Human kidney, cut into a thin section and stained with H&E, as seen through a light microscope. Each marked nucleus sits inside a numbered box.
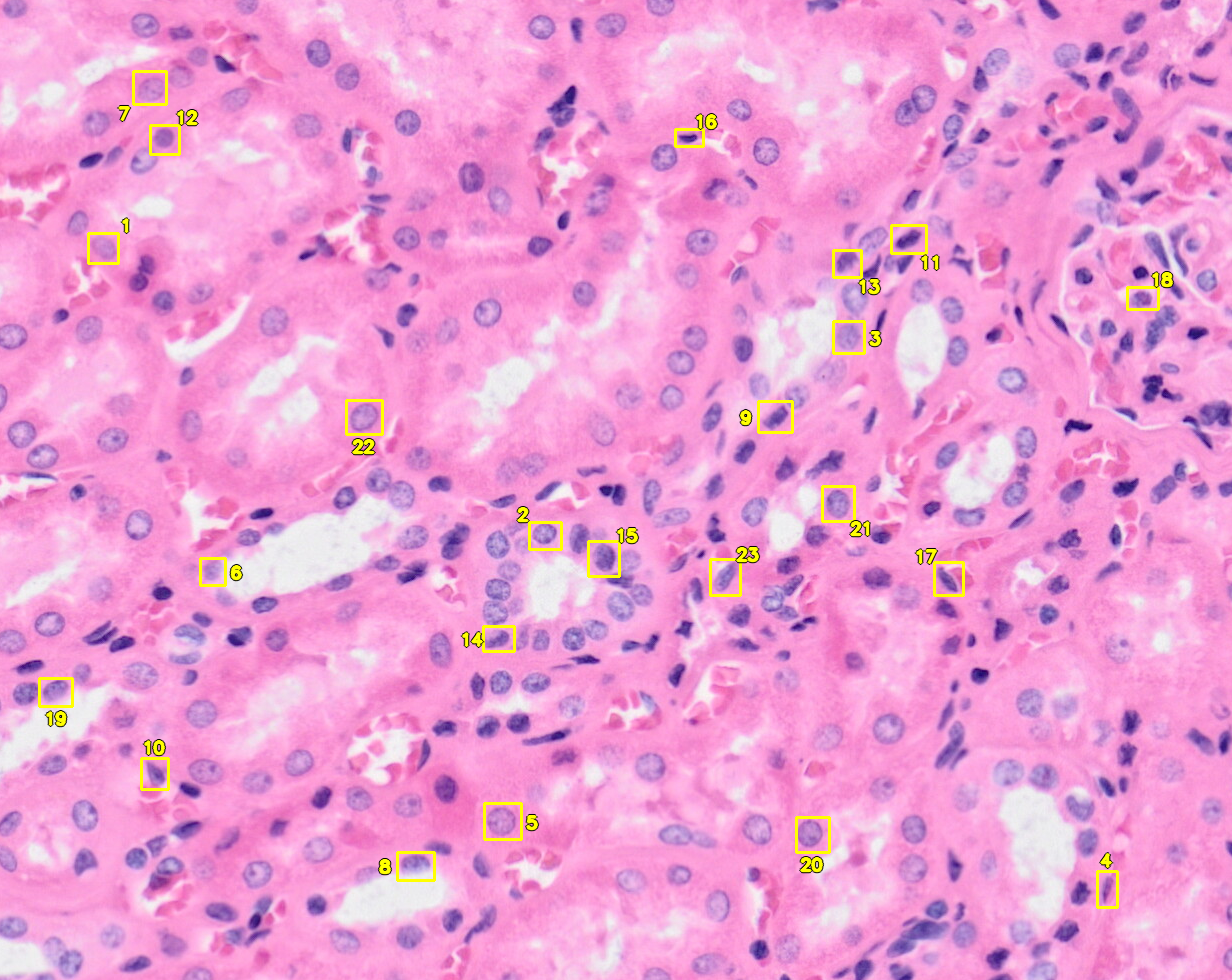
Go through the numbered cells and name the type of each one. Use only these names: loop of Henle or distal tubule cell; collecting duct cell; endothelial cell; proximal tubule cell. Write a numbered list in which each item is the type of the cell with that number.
1. proximal tubule cell
2. collecting duct cell
3. collecting duct cell
4. endothelial cell
5. proximal tubule cell
6. loop of Henle or distal tubule cell
7. proximal tubule cell
8. loop of Henle or distal tubule cell
9. collecting duct cell
10. endothelial cell
11. collecting duct cell
12. proximal tubule cell
13. collecting duct cell
14. collecting duct cell
15. collecting duct cell
16. endothelial cell
17. endothelial cell
18. endothelial cell
19. loop of Henle or distal tubule cell
20. proximal tubule cell
21. loop of Henle or distal tubule cell
22. proximal tubule cell
23. endothelial cell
